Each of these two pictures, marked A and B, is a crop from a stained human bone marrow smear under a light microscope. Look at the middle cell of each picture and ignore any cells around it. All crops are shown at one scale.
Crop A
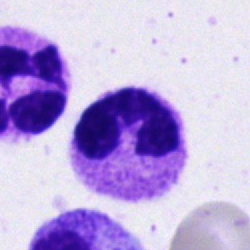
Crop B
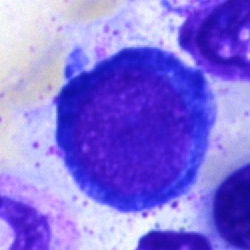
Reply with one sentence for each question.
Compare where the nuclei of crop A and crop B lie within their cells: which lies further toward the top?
The nucleus in crop A lies further toward the top of its cell.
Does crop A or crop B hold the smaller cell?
Crop A holds the smaller cell, since the cell in crop B covers about 2 times as much area.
